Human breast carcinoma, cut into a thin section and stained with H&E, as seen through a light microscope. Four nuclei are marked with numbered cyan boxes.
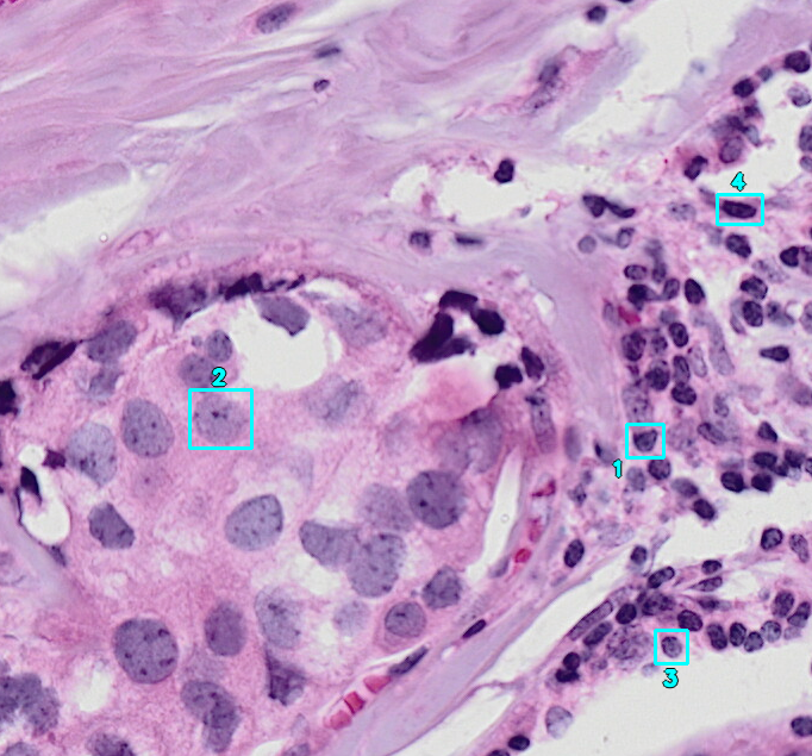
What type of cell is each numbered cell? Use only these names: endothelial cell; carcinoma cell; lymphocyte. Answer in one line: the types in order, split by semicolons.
lymphocyte; carcinoma cell; lymphocyte; lymphocyte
